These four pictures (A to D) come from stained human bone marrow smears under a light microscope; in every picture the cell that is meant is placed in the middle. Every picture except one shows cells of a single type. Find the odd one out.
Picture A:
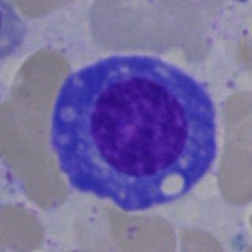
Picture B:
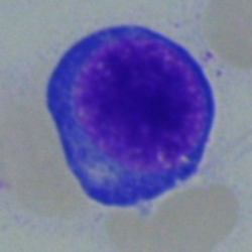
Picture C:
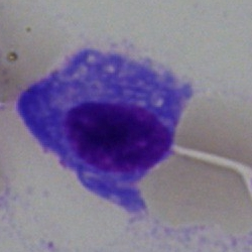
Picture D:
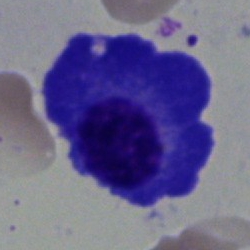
B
